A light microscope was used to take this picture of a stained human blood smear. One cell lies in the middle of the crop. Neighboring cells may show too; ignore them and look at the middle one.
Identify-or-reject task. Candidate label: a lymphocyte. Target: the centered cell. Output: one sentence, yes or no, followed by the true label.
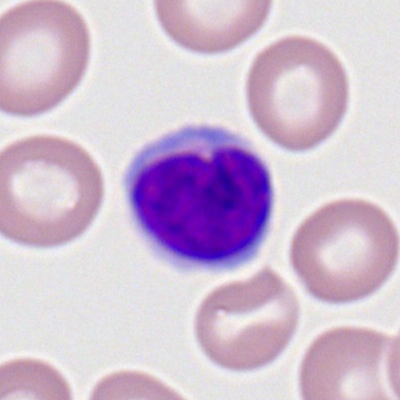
Yes, at the centre of the crop lies a lymphocyte.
